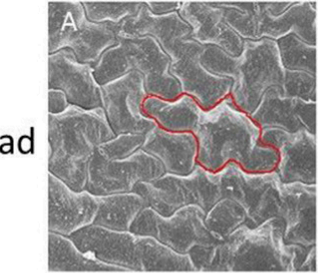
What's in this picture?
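This is a scanning electron view of the leaf surface epidermis, where flat epidermal cells fit together in a jigsaw-like pattern. One cell is traced in red, showing its irregular, lobed outline, with gently undulating walls shared with its neighbours.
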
